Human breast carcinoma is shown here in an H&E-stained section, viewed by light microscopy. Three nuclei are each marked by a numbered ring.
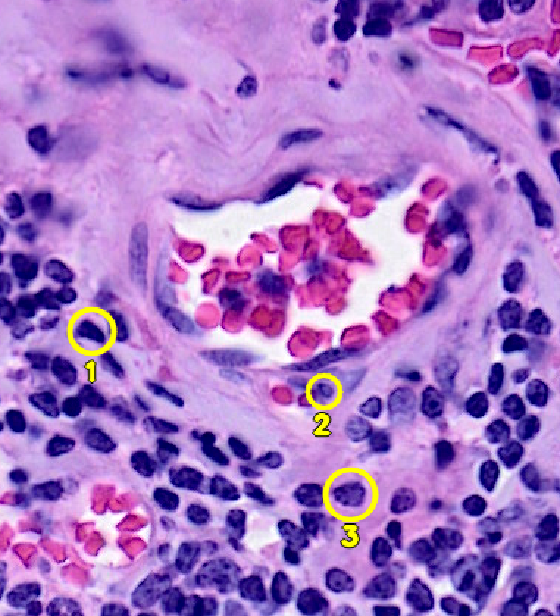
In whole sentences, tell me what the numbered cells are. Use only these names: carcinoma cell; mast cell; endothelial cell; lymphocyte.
Cell 1 is a lymphocyte, cell 2 is an endothelial cell and cell 3 is a lymphocyte.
